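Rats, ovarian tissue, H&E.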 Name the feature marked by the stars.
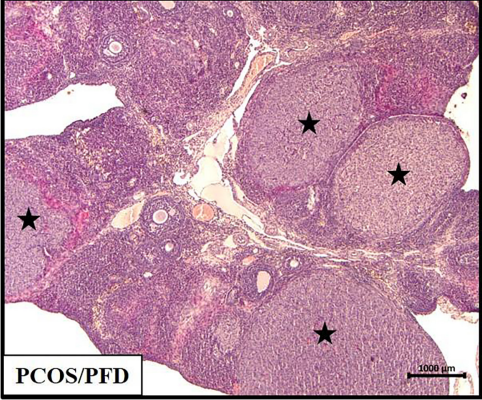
Corpora lutea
